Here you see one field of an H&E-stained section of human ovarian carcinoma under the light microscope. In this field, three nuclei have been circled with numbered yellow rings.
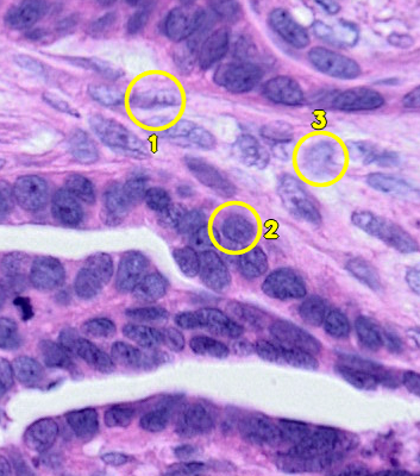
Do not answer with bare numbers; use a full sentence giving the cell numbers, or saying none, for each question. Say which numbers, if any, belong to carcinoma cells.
Among the numbered nuclei, only the one labelled 2 belongs to a carcinoma cell.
